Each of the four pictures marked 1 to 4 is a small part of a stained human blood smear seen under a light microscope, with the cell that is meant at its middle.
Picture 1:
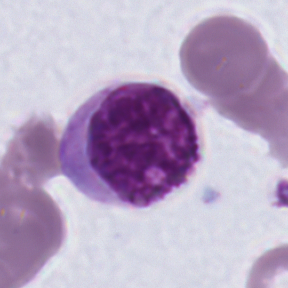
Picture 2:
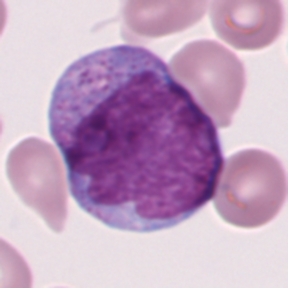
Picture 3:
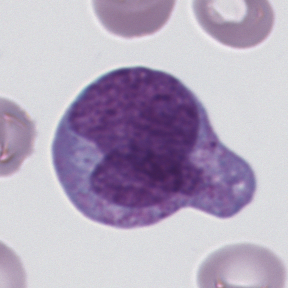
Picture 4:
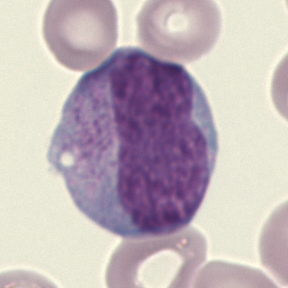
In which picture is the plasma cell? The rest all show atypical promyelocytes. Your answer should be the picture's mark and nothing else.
1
